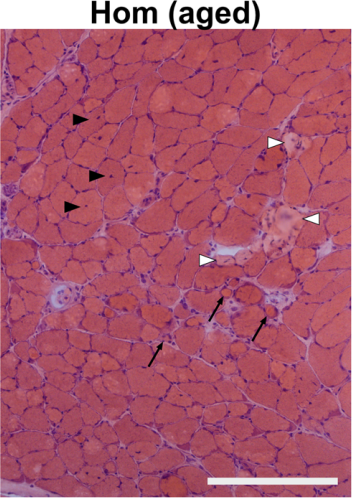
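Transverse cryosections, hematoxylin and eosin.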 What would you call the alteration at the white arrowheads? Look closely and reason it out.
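Degenerating fibers. The white arrowheads mark fibers that stain pale and patchy instead of solid red. Small dark nuclei crowd in and around these pale fibers.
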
